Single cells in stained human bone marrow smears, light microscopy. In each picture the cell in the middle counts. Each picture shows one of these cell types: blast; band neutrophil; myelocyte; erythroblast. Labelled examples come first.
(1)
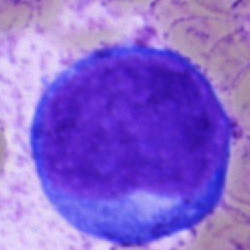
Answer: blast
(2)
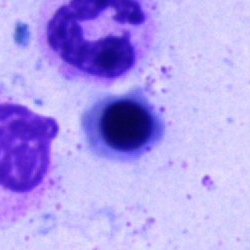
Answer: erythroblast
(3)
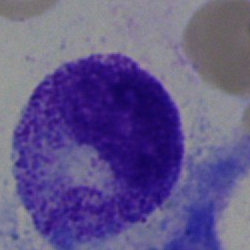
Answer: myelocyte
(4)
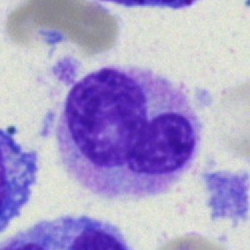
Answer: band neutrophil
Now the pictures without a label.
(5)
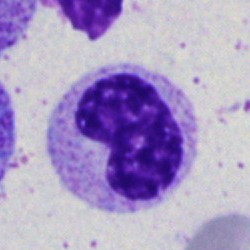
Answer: band neutrophil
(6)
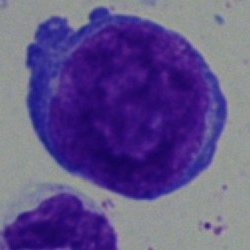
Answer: blast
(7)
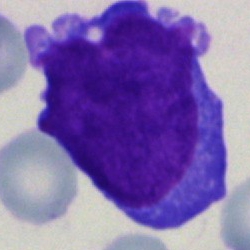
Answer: blast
